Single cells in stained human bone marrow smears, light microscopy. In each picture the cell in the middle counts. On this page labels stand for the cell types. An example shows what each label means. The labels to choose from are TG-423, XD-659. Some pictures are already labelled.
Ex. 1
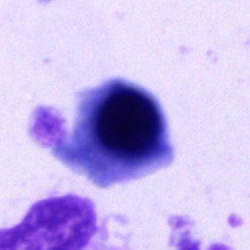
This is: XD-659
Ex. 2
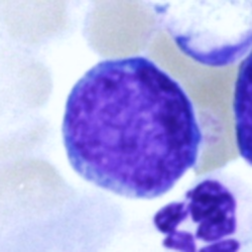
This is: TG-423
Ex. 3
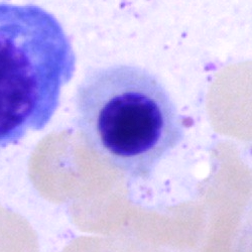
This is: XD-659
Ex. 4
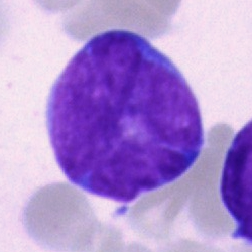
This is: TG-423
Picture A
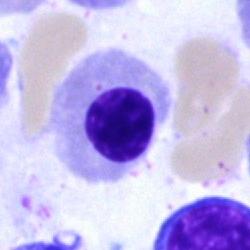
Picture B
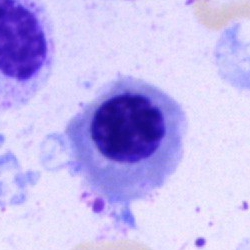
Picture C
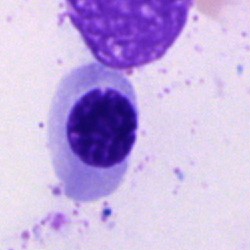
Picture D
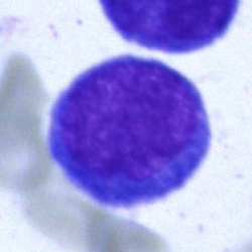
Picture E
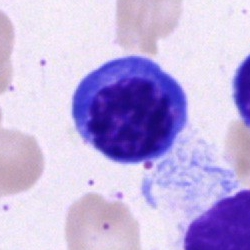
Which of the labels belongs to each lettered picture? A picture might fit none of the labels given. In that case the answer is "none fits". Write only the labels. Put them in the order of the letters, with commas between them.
XD-659, XD-659, XD-659, TG-423, XD-659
